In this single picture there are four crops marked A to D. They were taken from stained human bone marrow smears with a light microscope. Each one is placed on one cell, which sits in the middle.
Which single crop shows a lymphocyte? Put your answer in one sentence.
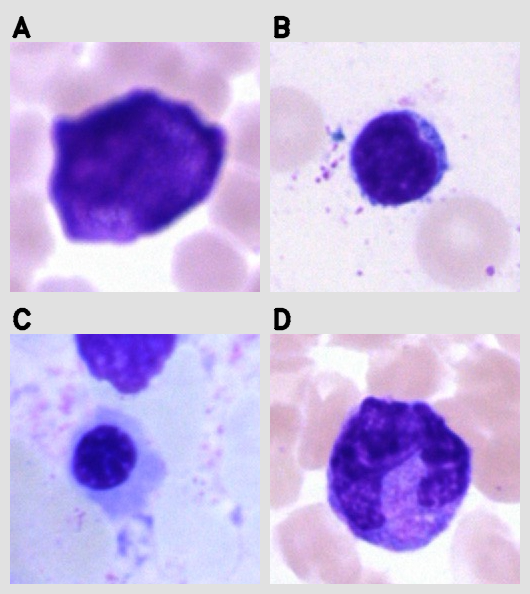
It is in crop B, among all the crops, that a lymphocyte is present.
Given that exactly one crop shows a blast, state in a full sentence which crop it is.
Crop A is the one in this set that shows a blast.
